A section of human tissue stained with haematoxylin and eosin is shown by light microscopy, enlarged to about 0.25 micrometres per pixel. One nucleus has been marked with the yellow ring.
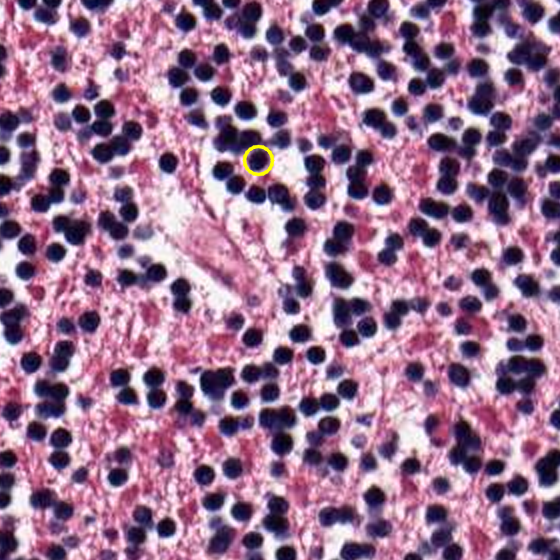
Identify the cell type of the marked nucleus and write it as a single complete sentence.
The nucleus indicated by the mark belongs to a cerebellar granule cell.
